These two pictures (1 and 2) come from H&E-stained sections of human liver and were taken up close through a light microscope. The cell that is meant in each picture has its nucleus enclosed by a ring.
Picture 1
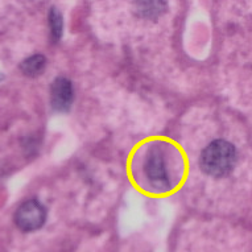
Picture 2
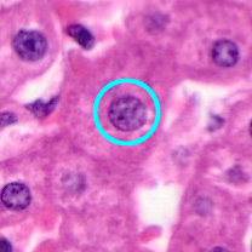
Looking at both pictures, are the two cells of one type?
no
